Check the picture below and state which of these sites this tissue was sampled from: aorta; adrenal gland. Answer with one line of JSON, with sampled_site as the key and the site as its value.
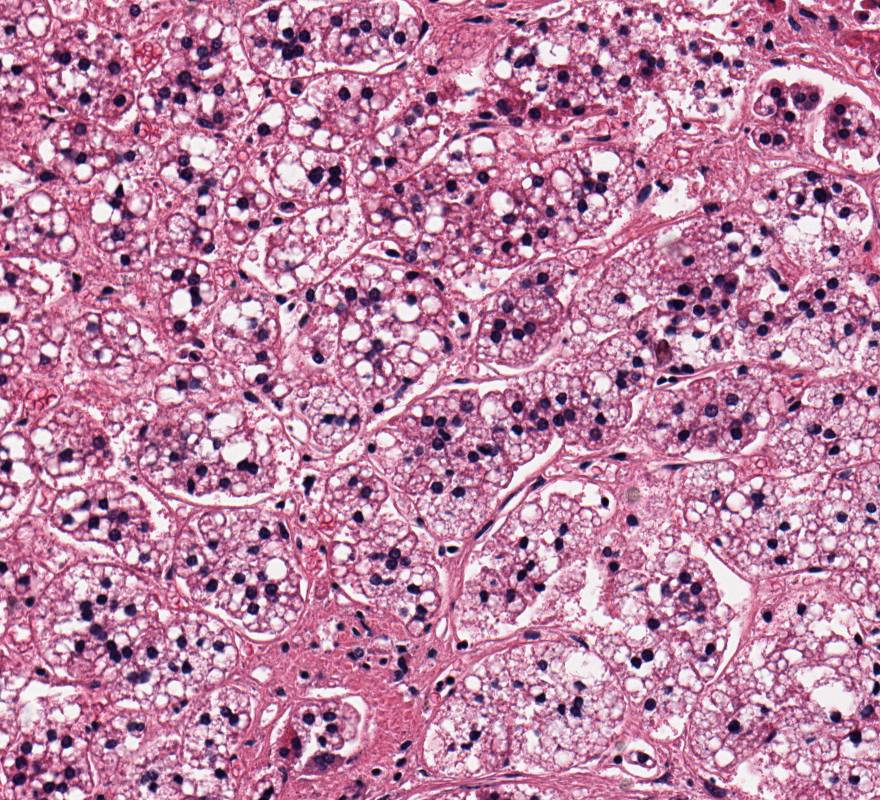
{"sampled_site": "adrenal gland"}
